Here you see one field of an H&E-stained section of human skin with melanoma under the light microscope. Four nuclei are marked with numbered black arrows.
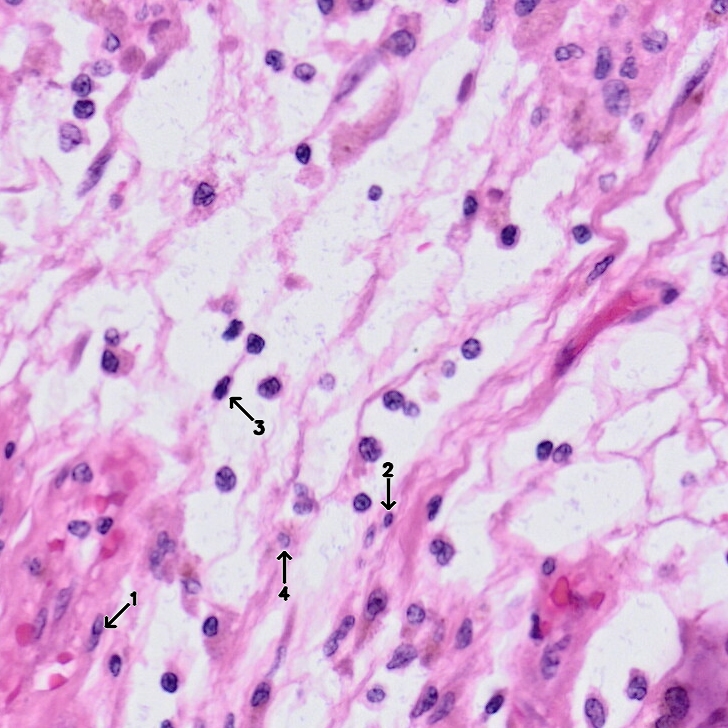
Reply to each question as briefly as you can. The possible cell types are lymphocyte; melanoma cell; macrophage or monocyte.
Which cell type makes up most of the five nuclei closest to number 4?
lymphocyte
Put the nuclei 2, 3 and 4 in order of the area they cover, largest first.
3, 4, 2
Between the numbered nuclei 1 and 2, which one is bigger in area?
1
